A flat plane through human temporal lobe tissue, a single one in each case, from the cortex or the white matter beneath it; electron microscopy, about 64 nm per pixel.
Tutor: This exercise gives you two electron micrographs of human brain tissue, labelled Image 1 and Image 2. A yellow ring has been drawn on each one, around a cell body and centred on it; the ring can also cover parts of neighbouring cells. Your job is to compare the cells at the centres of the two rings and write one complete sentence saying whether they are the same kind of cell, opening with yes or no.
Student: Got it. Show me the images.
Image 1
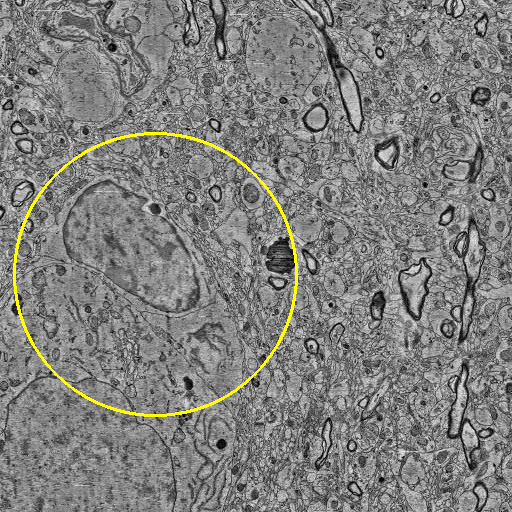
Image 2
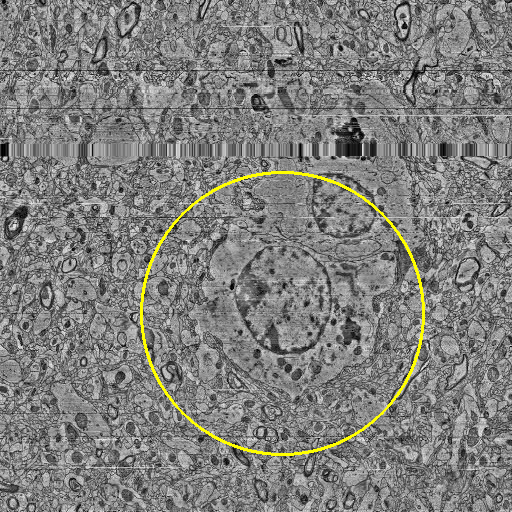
No, the two cells belong to two kinds.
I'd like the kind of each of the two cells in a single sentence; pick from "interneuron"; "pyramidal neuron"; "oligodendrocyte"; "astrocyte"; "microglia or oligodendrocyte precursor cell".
The first ring marks a microglial cell or oligodendrocyte precursor cell, and the second ring marks an astrocyte.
